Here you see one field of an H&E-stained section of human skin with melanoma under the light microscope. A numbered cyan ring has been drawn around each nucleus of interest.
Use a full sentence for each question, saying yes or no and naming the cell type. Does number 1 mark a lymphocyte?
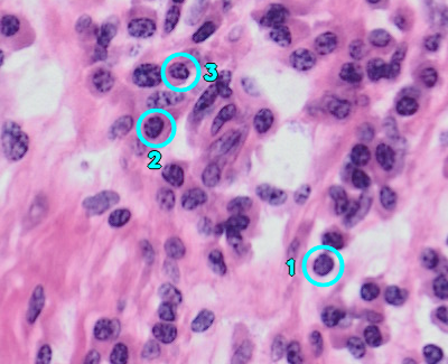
Yes, with respect to number 1, the cell is a lymphocyte.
